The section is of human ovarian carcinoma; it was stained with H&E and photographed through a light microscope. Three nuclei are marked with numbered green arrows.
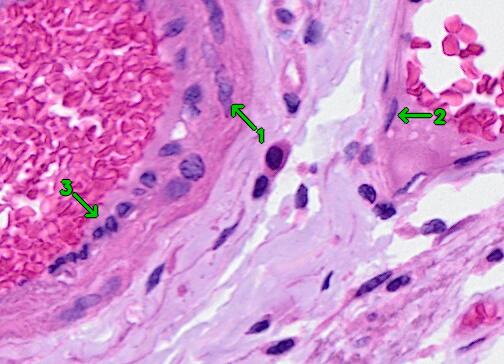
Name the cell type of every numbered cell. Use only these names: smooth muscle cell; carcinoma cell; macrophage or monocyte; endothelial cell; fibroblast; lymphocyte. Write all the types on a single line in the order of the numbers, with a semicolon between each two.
smooth muscle cell; endothelial cell; endothelial cell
